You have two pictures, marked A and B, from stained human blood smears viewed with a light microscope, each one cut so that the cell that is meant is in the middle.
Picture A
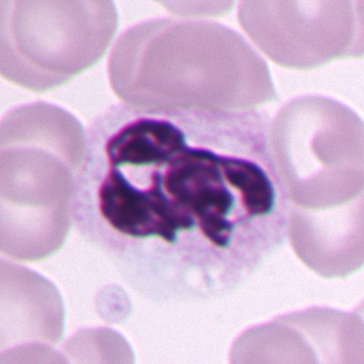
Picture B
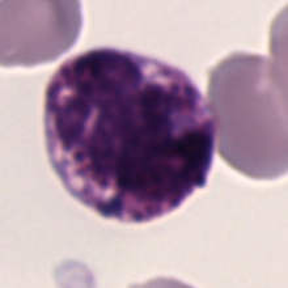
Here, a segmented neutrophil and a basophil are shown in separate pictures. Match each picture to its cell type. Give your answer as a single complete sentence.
It is picture A that shows a segmented neutrophil, and picture B that shows a basophil.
